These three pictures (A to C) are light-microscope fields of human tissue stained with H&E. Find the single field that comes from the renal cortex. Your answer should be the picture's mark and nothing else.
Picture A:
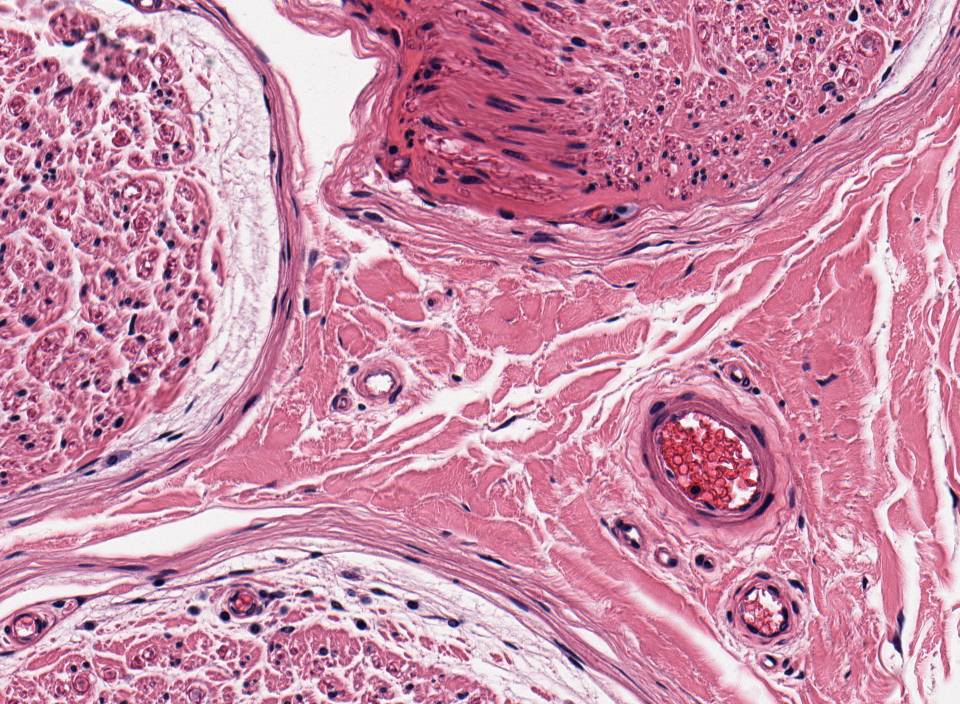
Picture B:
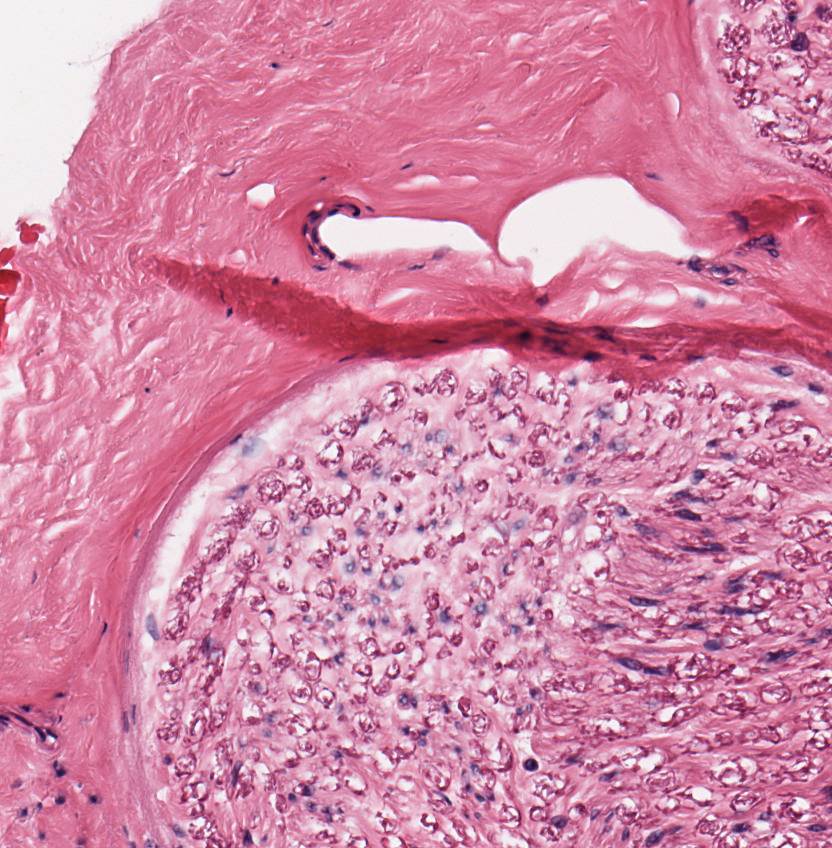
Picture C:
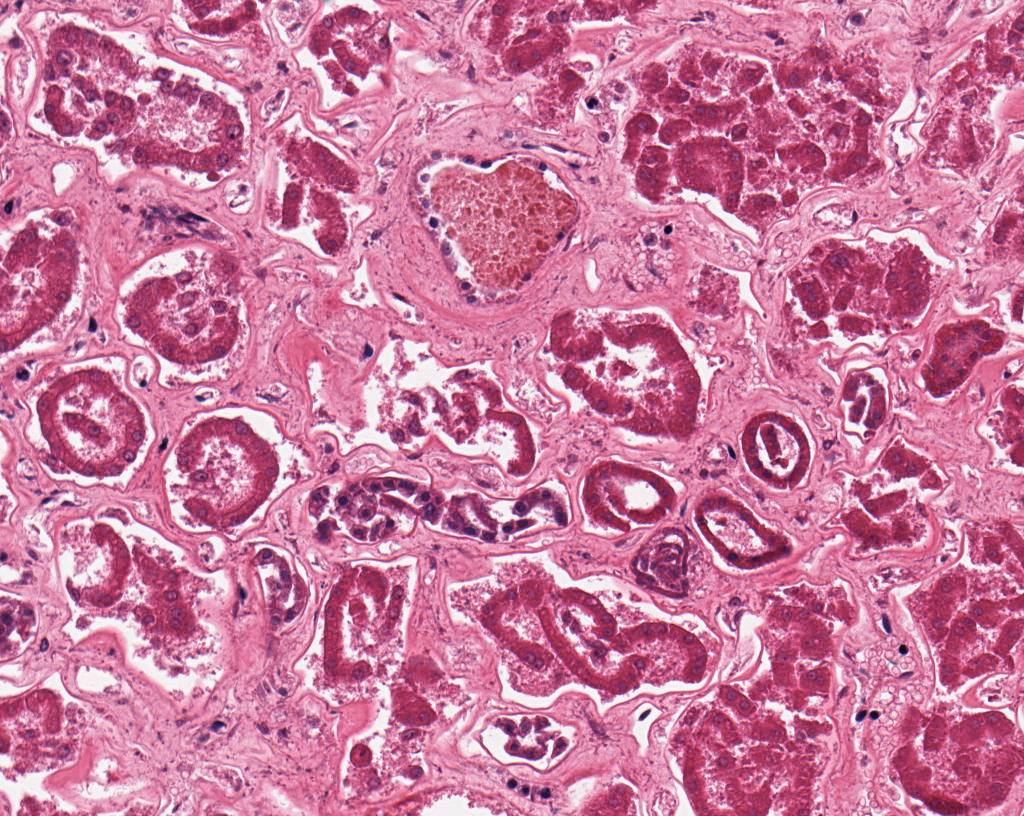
C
